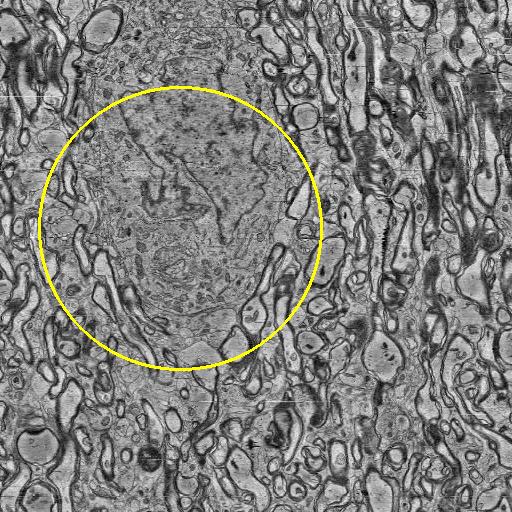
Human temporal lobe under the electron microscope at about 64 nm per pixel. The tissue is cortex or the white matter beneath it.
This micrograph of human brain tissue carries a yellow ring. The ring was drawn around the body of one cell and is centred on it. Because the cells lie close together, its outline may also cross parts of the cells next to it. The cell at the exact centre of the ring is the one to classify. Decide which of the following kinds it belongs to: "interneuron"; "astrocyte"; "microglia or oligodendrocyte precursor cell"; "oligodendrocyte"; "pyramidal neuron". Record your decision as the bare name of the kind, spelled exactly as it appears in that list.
interneuron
